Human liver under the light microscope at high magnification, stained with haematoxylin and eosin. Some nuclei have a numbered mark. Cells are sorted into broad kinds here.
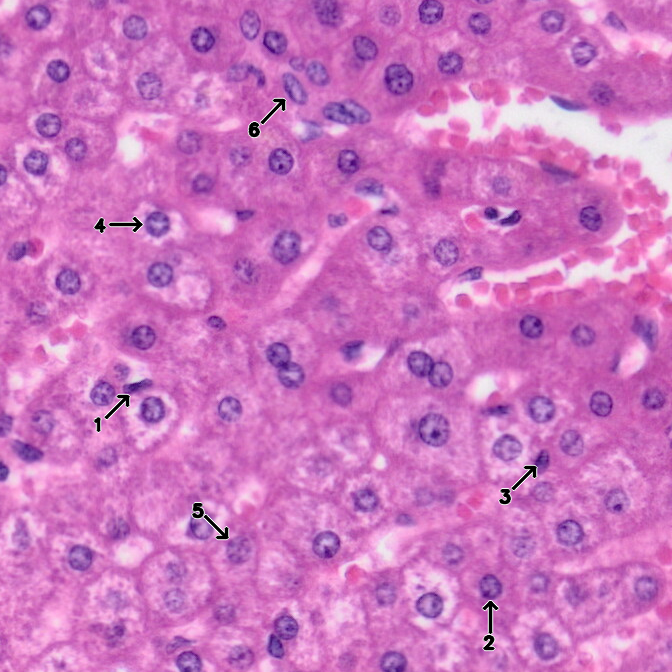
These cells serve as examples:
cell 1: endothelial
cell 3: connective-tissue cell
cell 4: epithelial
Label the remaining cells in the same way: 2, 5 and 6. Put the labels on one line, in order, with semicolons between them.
epithelial; epithelial; epithelial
